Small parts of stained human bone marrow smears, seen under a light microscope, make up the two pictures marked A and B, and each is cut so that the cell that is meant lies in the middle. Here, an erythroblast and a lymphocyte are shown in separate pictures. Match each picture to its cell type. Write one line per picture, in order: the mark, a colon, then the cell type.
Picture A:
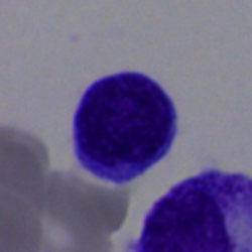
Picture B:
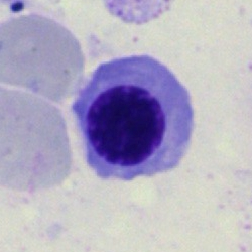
A: lymphocyte
B: erythroblast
